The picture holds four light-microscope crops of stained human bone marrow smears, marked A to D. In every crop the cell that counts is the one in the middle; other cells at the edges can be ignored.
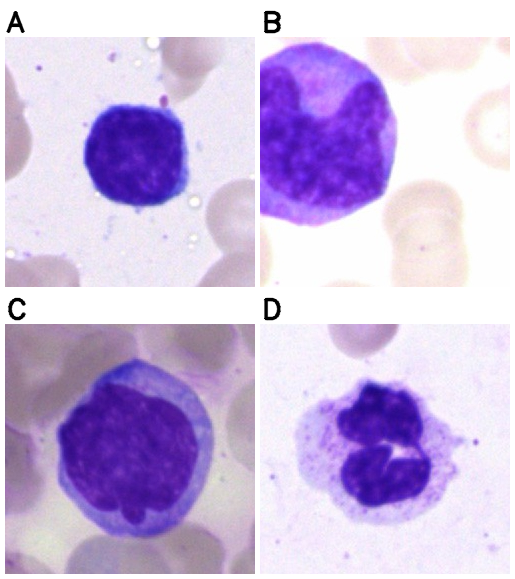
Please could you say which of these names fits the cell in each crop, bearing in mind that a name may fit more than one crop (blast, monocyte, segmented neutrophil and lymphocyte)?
A: lymphocyte
B: monocyte
C: monocyte
D: segmented neutrophil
